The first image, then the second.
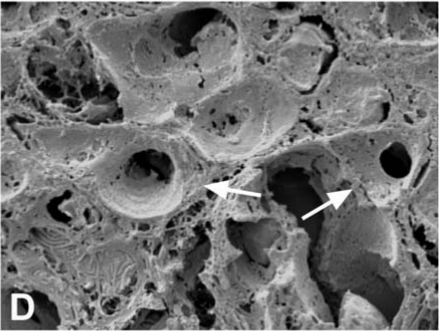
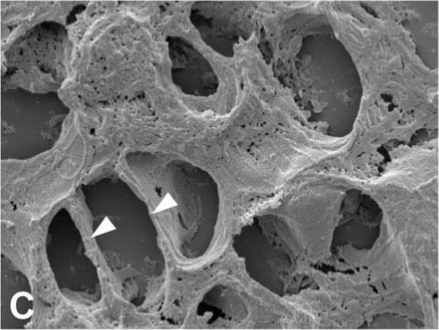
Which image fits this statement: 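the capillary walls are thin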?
The second image.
